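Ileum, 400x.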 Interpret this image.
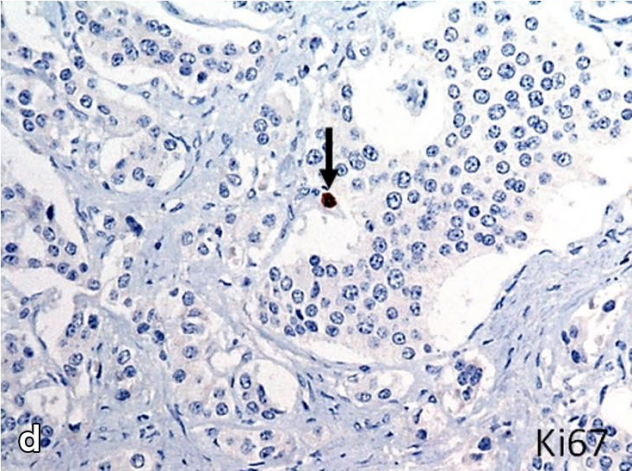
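Nests and cords of tumor cells sit in pale blue-grey fibrous stroma. The tumor cells have round, uniform blue nuclei with fine chromatin and pale cytoplasm, some loosely arranged within the nests. Almost all nuclei are blue only; a single nucleus near the centre is stained dark brown, standing out among hundreds of unstained ones.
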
